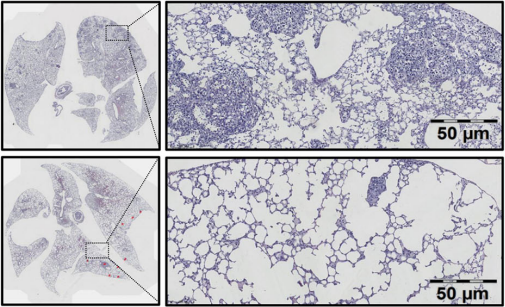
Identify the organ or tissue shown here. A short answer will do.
lung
